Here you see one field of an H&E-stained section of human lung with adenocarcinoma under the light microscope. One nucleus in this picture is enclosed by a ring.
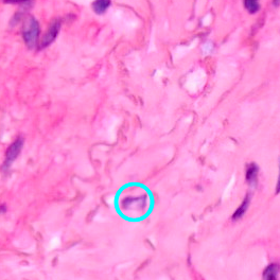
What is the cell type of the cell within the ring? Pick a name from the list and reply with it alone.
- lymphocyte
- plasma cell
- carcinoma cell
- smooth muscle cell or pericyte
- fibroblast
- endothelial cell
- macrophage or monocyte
fibroblast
